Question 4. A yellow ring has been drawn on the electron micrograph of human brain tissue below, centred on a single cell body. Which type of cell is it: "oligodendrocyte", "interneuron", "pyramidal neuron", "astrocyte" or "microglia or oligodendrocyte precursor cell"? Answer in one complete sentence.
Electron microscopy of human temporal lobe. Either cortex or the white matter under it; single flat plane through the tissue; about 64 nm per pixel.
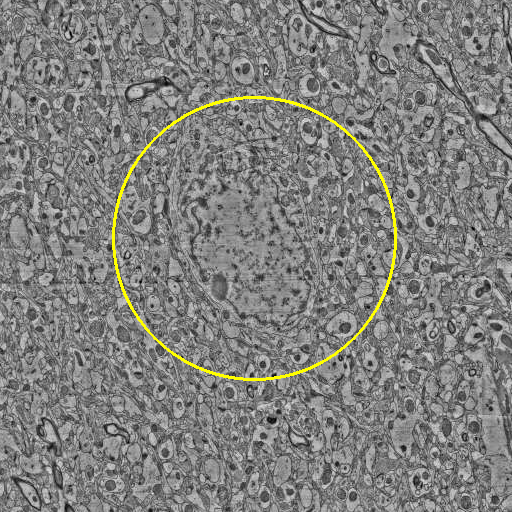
This cell body belongs to an interneuron.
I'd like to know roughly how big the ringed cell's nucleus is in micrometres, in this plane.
Approximately 11 micrometres long and 7 micrometres wide, so clearly longer than it is wide in this plane.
